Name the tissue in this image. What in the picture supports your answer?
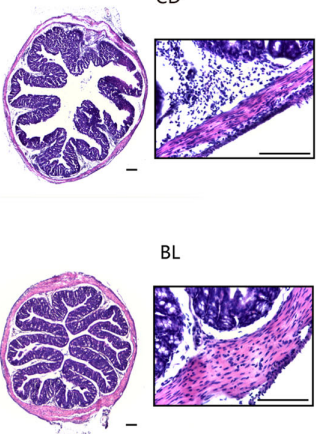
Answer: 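Round cross-sections of a hollow organ with a central lumen. The mucosa is thrown into folds lined by densely packed purple-stained crypts. A thin pink muscular coat surrounds the outside.
Conclusion: colon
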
